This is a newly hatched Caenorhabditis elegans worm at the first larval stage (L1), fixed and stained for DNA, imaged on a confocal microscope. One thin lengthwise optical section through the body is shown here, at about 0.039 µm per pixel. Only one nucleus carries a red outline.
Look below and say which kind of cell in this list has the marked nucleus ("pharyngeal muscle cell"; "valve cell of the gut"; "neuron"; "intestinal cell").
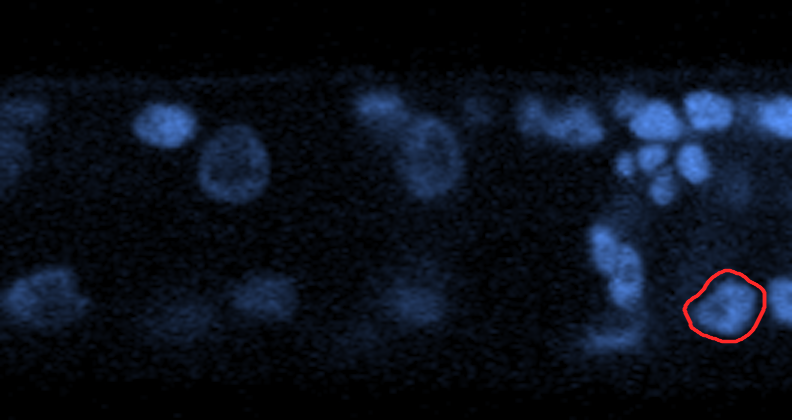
pharyngeal muscle cell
